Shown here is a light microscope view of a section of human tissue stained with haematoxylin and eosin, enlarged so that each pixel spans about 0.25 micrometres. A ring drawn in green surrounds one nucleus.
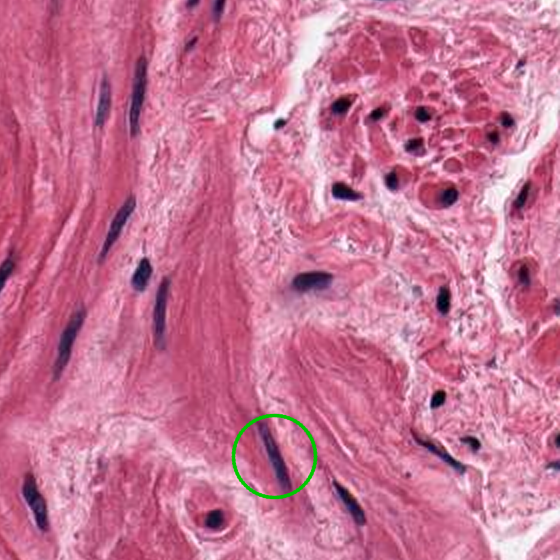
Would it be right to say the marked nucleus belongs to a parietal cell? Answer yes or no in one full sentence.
No, the nucleus that is marked is not part of a parietal cell.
